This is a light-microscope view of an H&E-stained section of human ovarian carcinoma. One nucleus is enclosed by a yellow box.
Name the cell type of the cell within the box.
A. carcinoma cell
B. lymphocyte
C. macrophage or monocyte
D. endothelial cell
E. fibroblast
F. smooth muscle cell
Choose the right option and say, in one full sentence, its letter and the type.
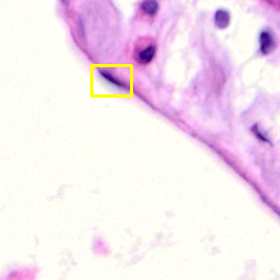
Here the cell within the box is an endothelial cell; pick option D.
